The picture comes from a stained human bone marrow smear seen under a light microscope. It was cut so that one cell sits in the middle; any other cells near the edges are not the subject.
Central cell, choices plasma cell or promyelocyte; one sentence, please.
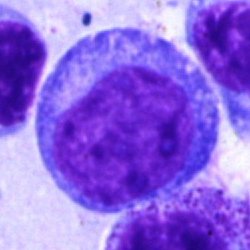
This crop has a promyelocyte at its centre.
